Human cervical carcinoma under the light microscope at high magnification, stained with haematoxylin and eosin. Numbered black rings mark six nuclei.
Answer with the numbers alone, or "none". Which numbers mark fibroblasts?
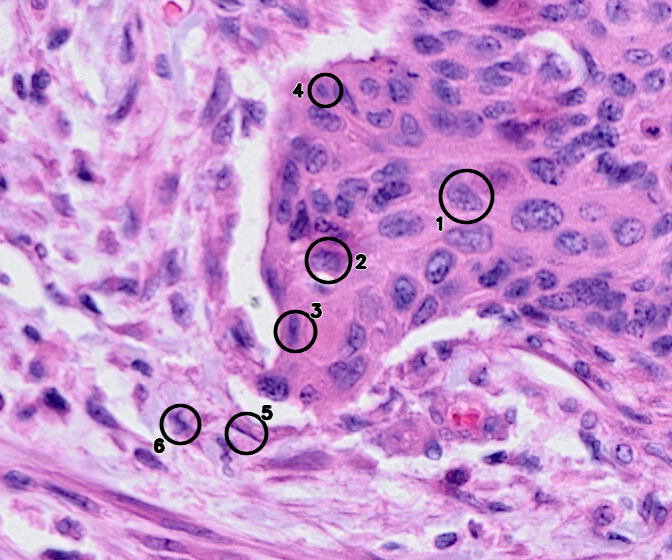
5, 6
